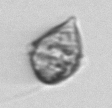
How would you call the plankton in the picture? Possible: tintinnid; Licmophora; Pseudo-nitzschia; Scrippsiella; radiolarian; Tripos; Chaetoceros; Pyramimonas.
I would call it Scrippsiella.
